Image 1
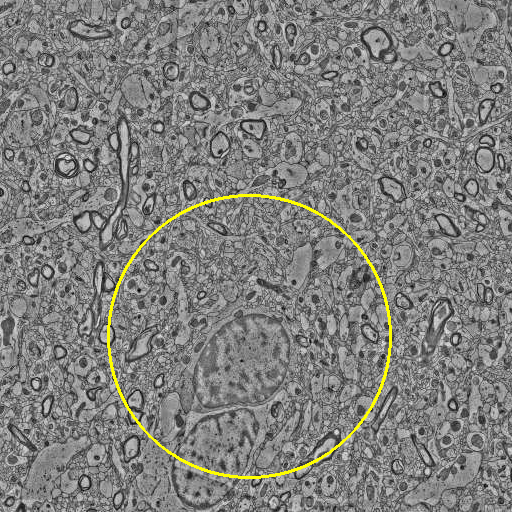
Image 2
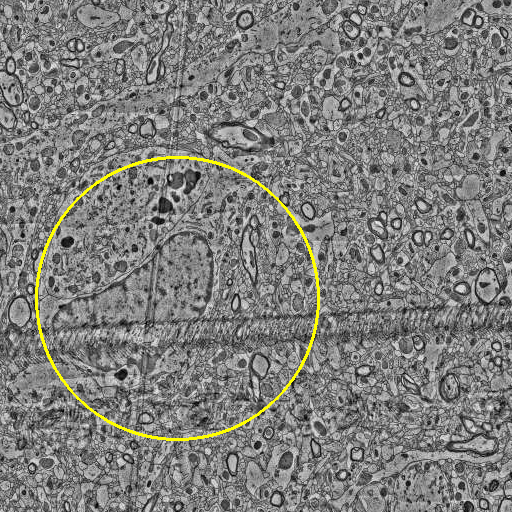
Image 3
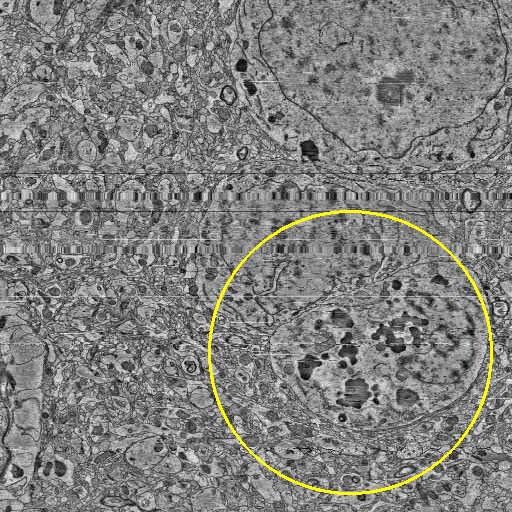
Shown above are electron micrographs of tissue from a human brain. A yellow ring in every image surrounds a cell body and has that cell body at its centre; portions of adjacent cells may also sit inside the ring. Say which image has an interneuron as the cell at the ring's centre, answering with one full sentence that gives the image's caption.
The image whose ring is centred on the requested cell is Image 3.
